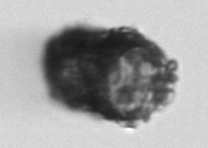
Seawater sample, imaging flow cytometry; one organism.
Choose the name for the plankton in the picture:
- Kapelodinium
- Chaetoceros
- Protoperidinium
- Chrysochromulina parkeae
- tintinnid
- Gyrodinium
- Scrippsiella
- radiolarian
tintinnid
